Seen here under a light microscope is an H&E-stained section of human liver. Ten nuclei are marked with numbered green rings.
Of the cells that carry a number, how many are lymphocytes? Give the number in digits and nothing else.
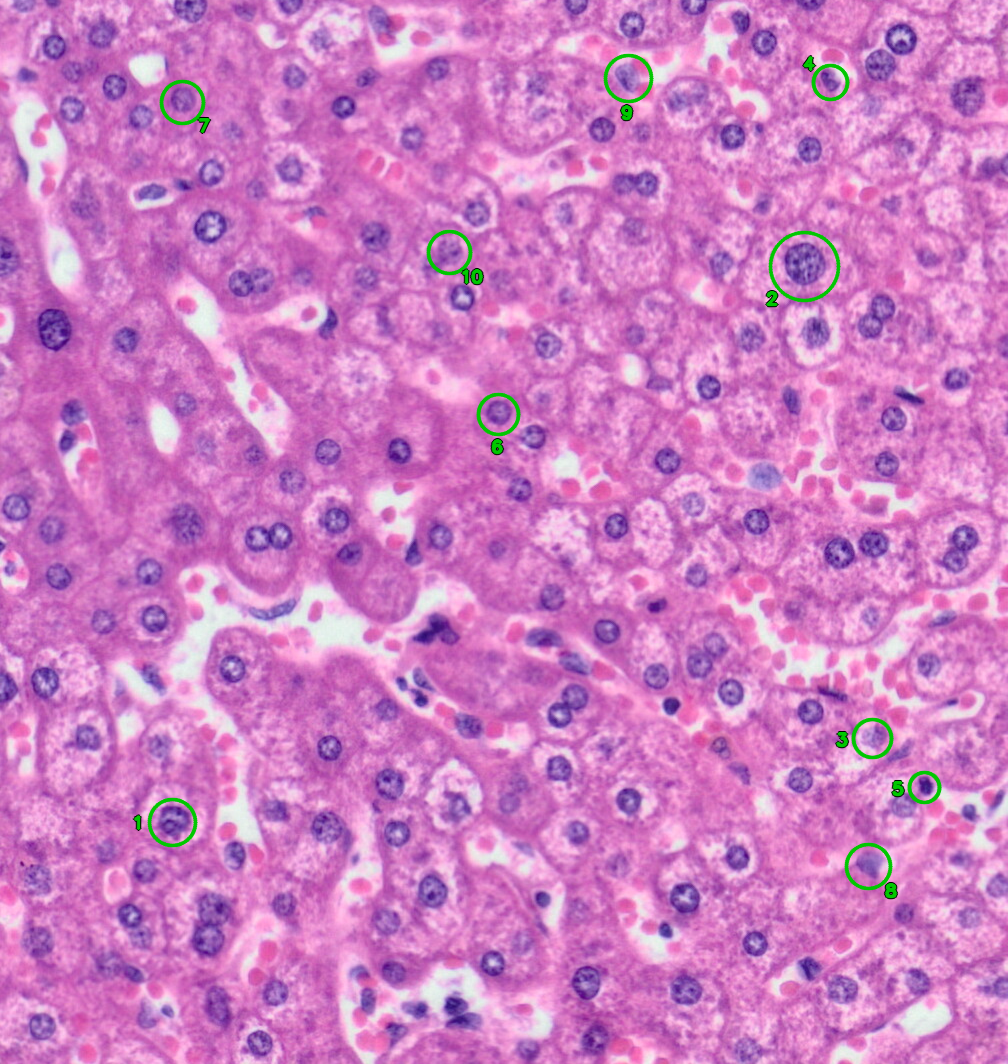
1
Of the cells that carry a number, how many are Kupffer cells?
1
